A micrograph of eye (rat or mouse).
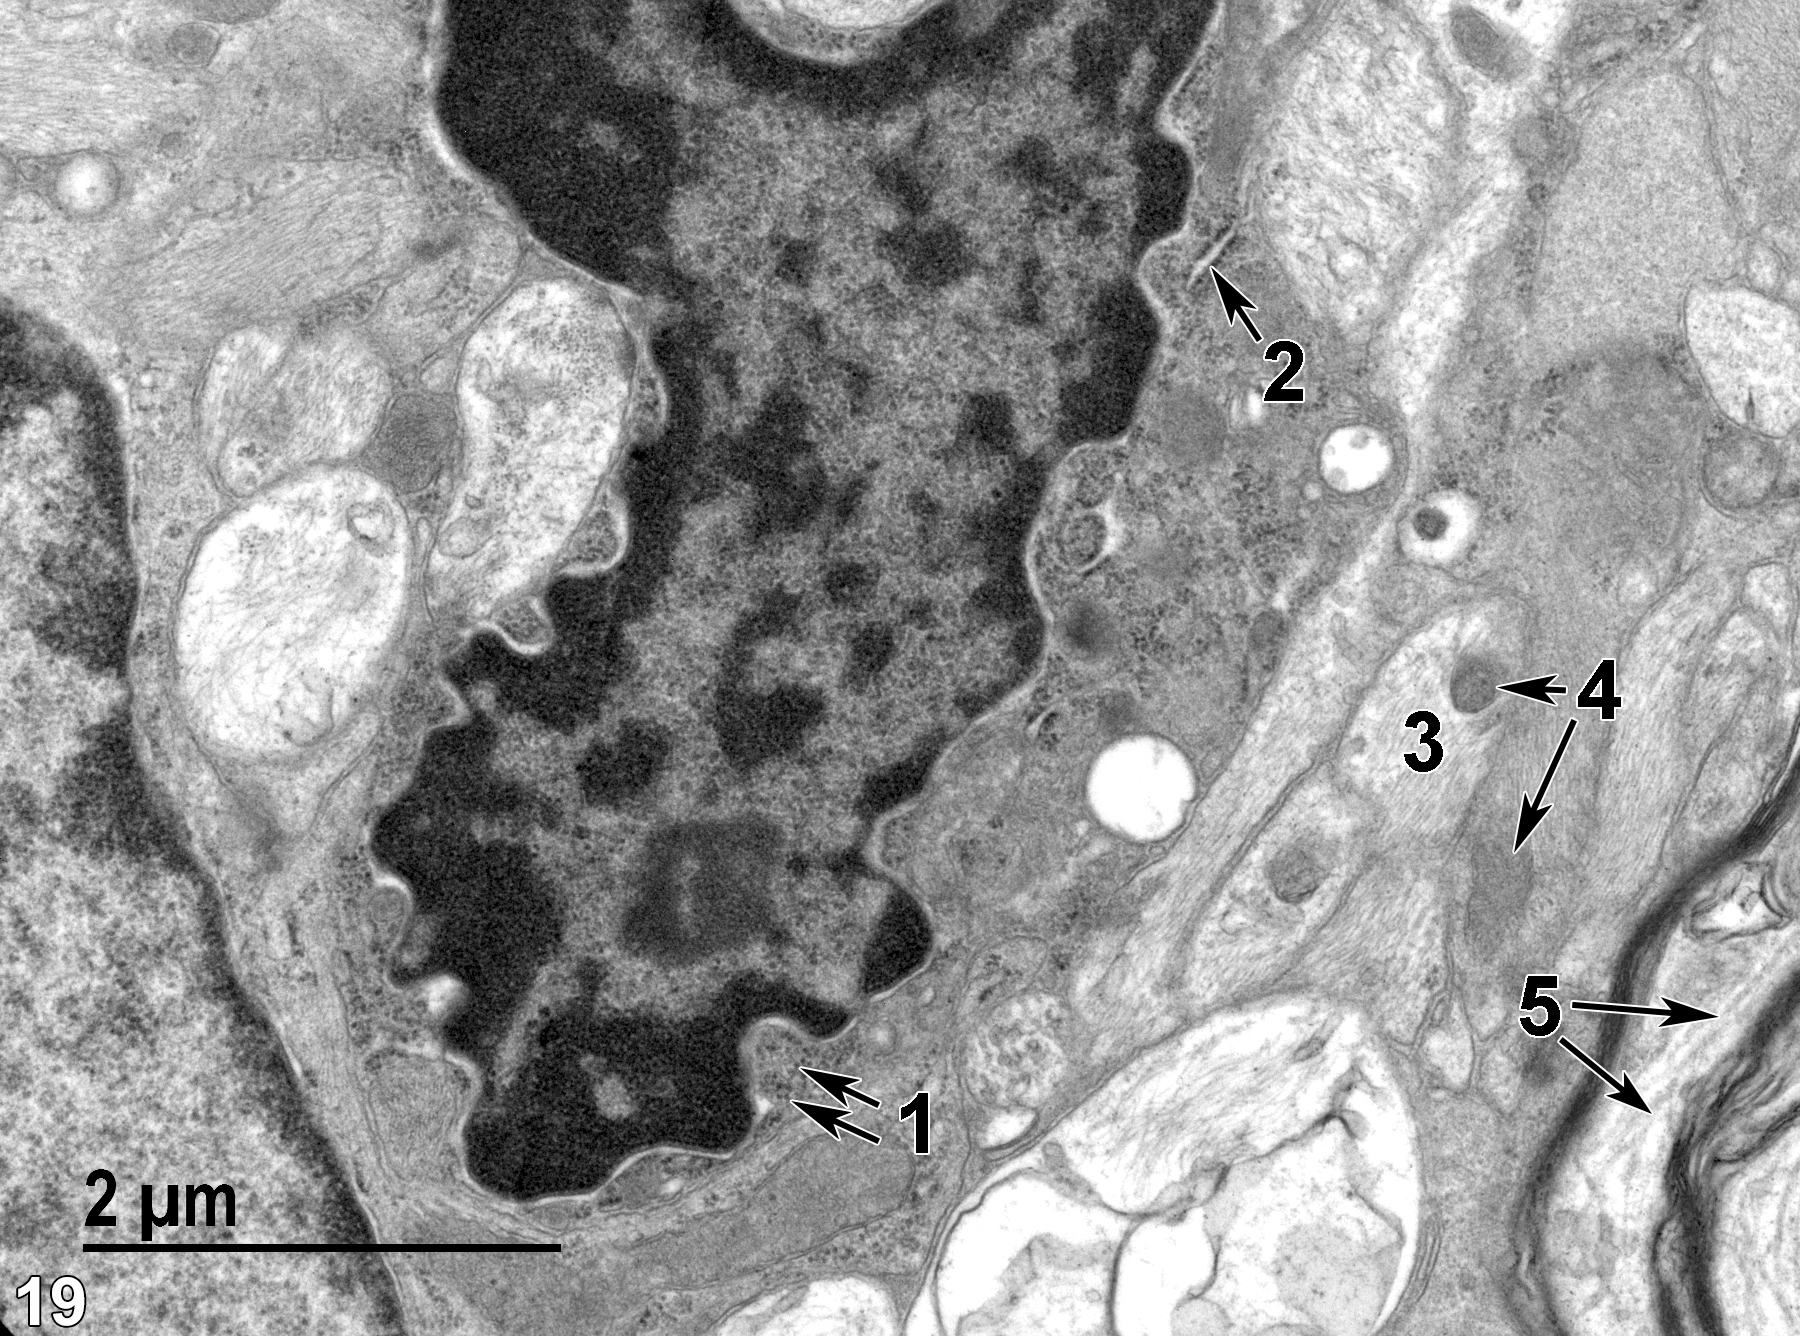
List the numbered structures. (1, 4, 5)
(1) polysomes
(4) mitochondrial profiles
(5) myelinated axon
